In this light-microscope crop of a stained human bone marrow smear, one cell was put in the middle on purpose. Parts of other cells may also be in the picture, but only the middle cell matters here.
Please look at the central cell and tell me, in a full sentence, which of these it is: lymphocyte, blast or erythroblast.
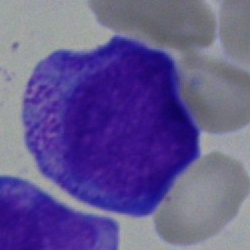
The cell in the middle of this crop is a blast.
